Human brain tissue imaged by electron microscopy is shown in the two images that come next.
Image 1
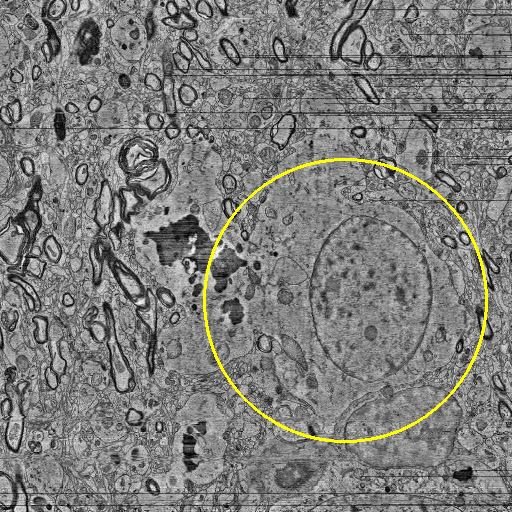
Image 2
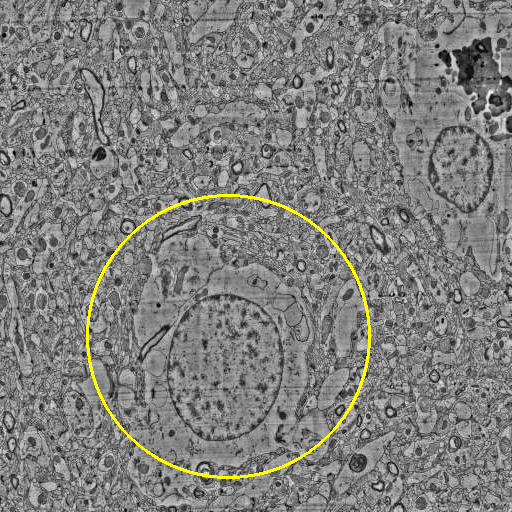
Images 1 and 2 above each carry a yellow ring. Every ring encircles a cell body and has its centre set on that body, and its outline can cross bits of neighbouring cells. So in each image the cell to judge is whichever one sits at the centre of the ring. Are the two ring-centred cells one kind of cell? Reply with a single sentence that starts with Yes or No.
Yes, in Image 1 and Image 2 the cells at the centres of their rings fall into one type.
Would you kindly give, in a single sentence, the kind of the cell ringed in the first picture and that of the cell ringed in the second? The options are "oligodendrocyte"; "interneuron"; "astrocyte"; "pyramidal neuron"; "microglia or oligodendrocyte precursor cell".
The second cell is an astrocyte, just as the first is.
